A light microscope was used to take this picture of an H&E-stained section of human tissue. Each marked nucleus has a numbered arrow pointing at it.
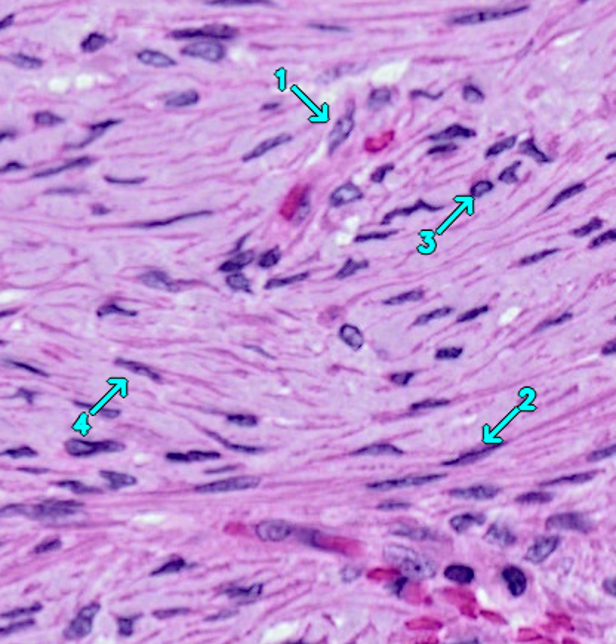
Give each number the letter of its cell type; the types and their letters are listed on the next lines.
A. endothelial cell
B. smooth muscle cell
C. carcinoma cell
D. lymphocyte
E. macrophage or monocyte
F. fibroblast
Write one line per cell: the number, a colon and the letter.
1: F
2: F
3: E
4: F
